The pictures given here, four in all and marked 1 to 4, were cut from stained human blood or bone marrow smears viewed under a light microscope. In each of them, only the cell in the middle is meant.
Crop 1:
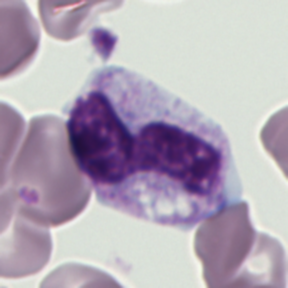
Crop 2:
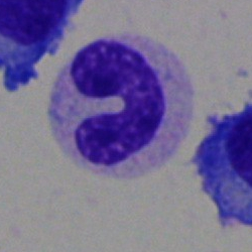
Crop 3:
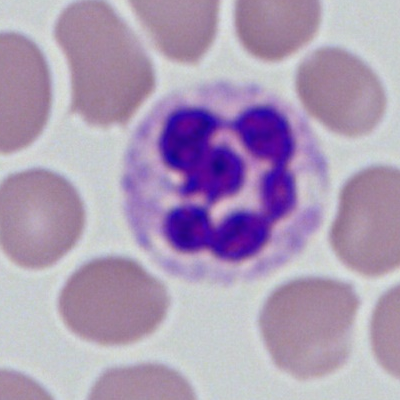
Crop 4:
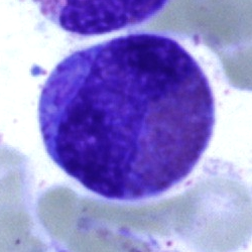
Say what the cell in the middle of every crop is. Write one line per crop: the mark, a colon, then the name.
1: band neutrophil
2: band neutrophil
3: segmented neutrophil
4: eosinophil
